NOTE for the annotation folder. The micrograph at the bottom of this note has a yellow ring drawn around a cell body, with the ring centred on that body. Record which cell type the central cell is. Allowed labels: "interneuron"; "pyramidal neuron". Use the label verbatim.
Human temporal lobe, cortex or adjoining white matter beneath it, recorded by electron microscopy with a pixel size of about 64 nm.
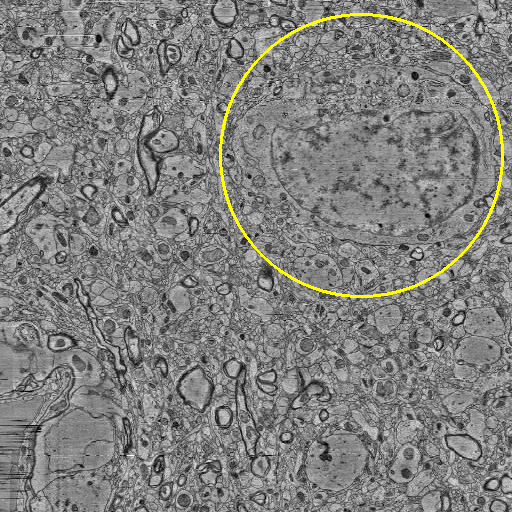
interneuron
